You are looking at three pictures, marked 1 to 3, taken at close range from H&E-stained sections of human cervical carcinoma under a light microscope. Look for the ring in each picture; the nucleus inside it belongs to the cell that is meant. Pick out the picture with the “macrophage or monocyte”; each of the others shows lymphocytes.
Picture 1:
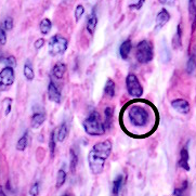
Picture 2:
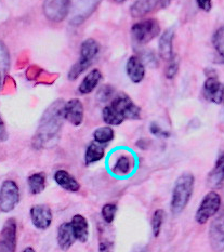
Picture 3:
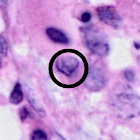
3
